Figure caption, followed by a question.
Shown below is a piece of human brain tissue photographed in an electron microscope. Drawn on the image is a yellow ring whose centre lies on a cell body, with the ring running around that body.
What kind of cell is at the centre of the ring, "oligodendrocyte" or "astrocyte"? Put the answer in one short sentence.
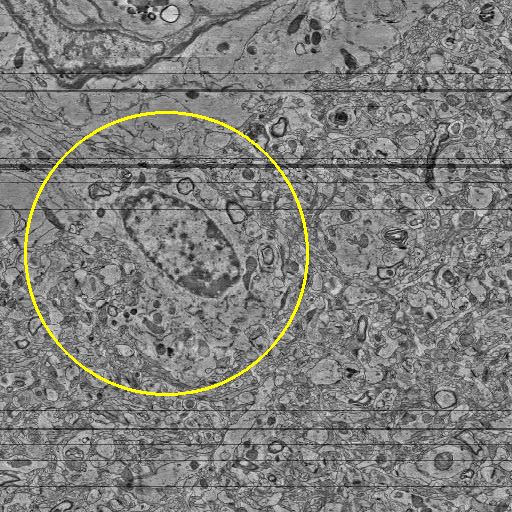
The ring marks the cell body of an astrocyte.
